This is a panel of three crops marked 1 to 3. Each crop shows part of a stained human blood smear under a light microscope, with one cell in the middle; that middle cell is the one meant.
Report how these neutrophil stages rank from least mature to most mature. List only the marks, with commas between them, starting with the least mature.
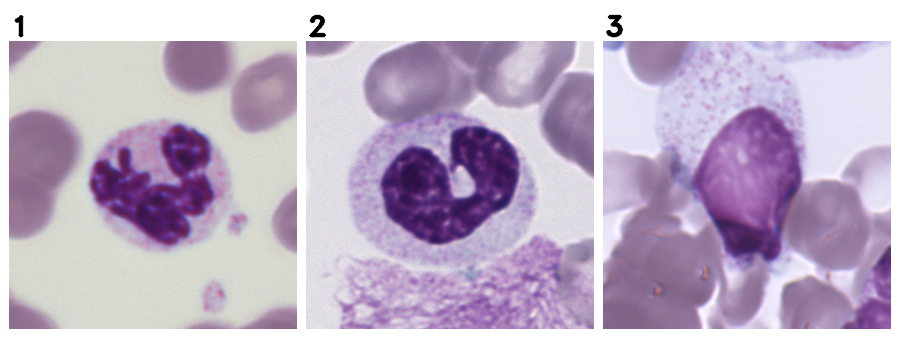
3, 2, 1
